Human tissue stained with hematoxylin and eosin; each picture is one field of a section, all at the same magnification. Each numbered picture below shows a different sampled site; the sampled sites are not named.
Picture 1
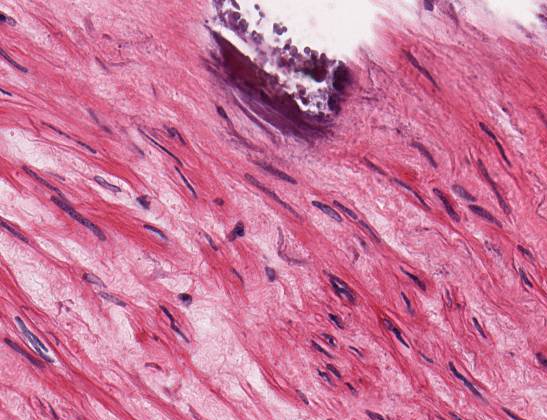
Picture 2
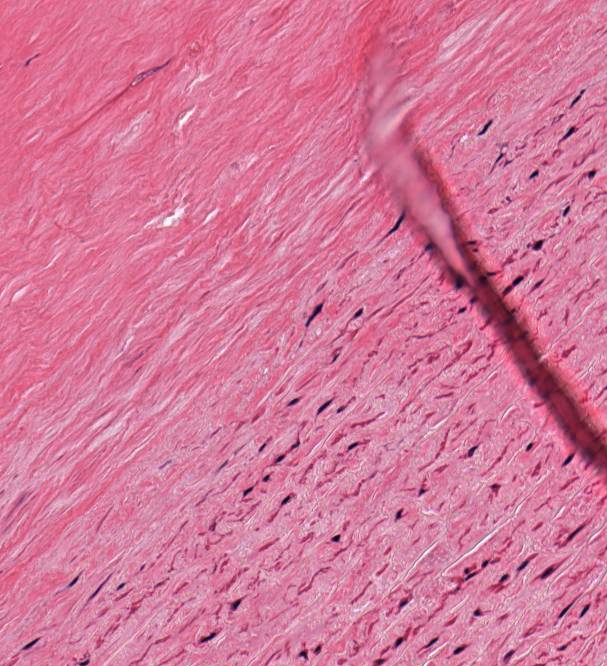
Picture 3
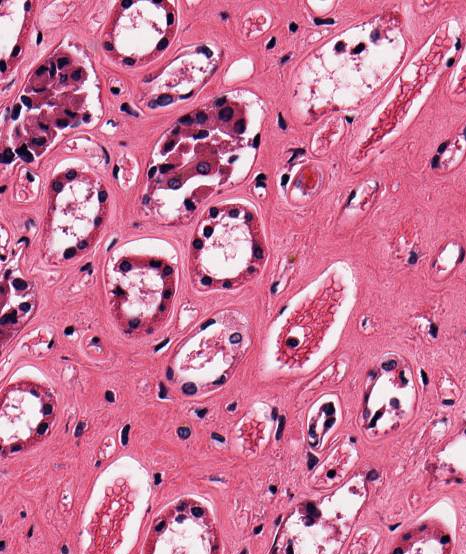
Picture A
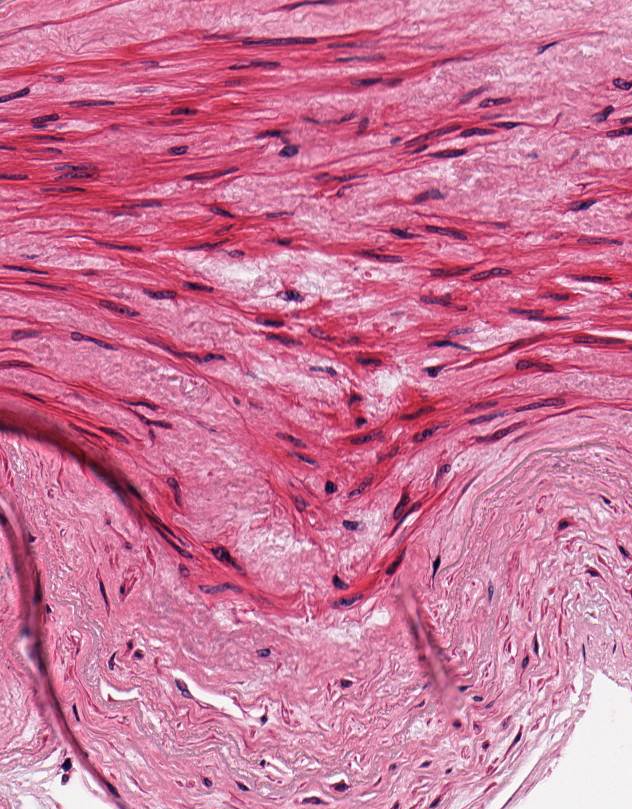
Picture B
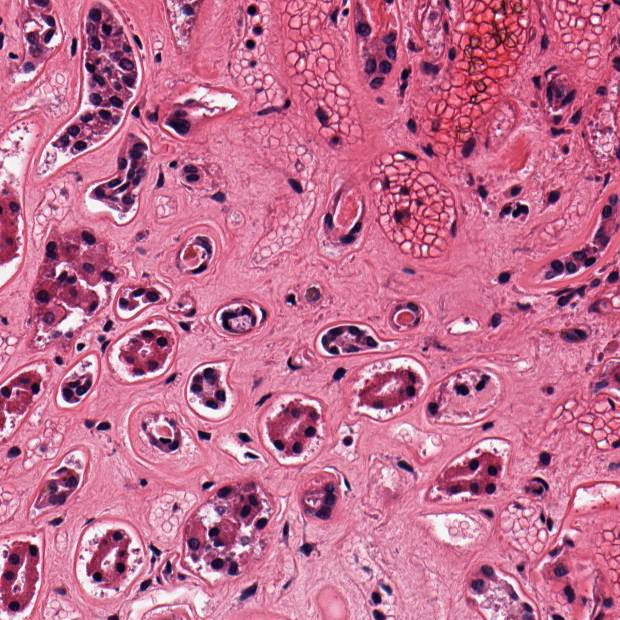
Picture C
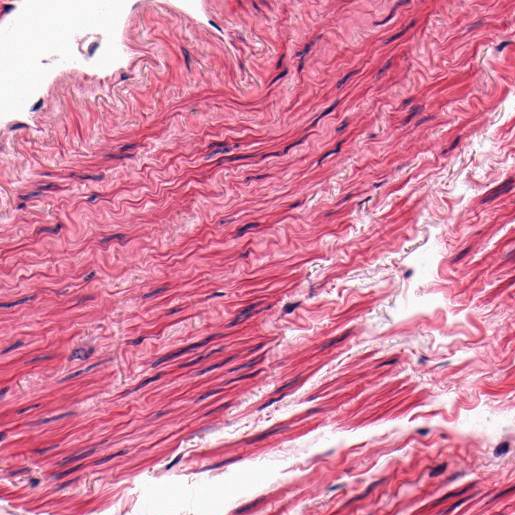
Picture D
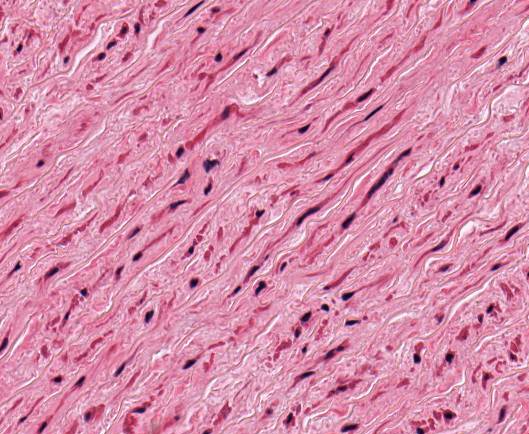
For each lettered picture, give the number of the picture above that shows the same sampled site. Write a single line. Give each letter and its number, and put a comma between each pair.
A 1, B 3, C 1, D 2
